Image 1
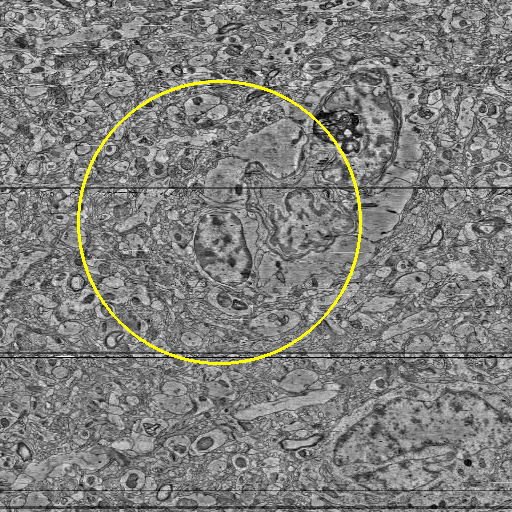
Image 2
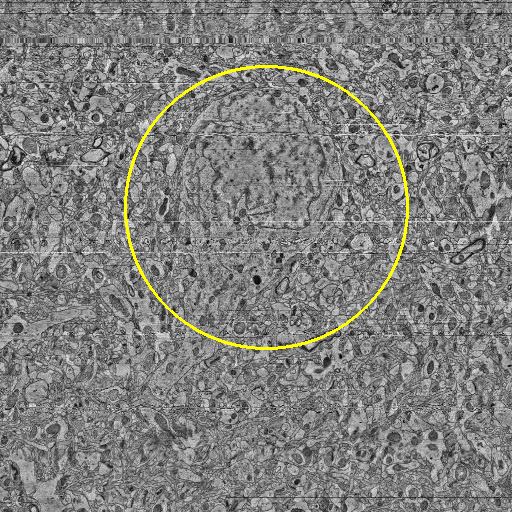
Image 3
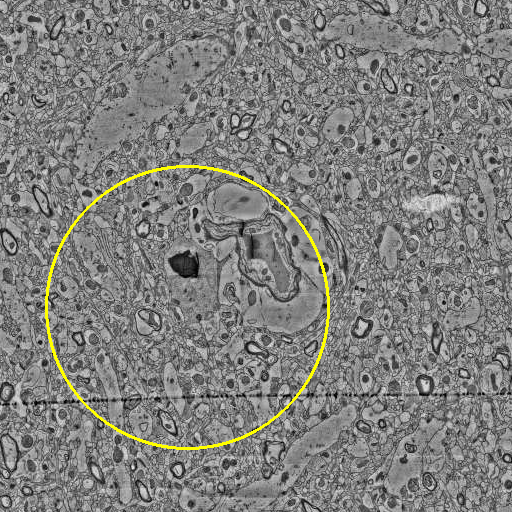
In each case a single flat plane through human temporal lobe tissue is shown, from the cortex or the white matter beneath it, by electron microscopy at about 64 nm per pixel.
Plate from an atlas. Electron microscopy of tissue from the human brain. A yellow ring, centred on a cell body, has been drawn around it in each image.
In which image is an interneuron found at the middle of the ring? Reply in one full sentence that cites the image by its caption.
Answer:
The requested cell is the one at the ring's centre in Image 2.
